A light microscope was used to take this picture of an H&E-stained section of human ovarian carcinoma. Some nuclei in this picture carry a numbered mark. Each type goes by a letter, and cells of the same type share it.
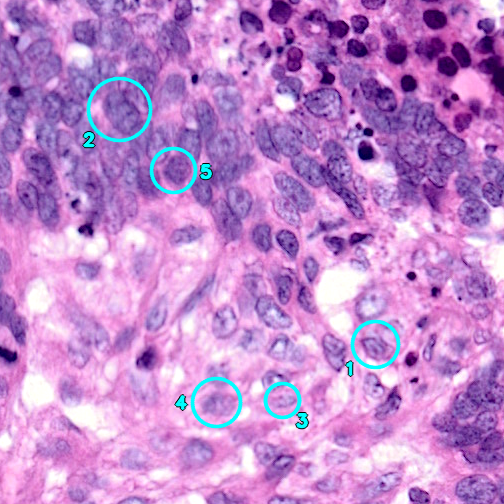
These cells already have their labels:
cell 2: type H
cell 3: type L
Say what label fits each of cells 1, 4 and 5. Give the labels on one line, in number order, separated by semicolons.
type L; type L; type H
